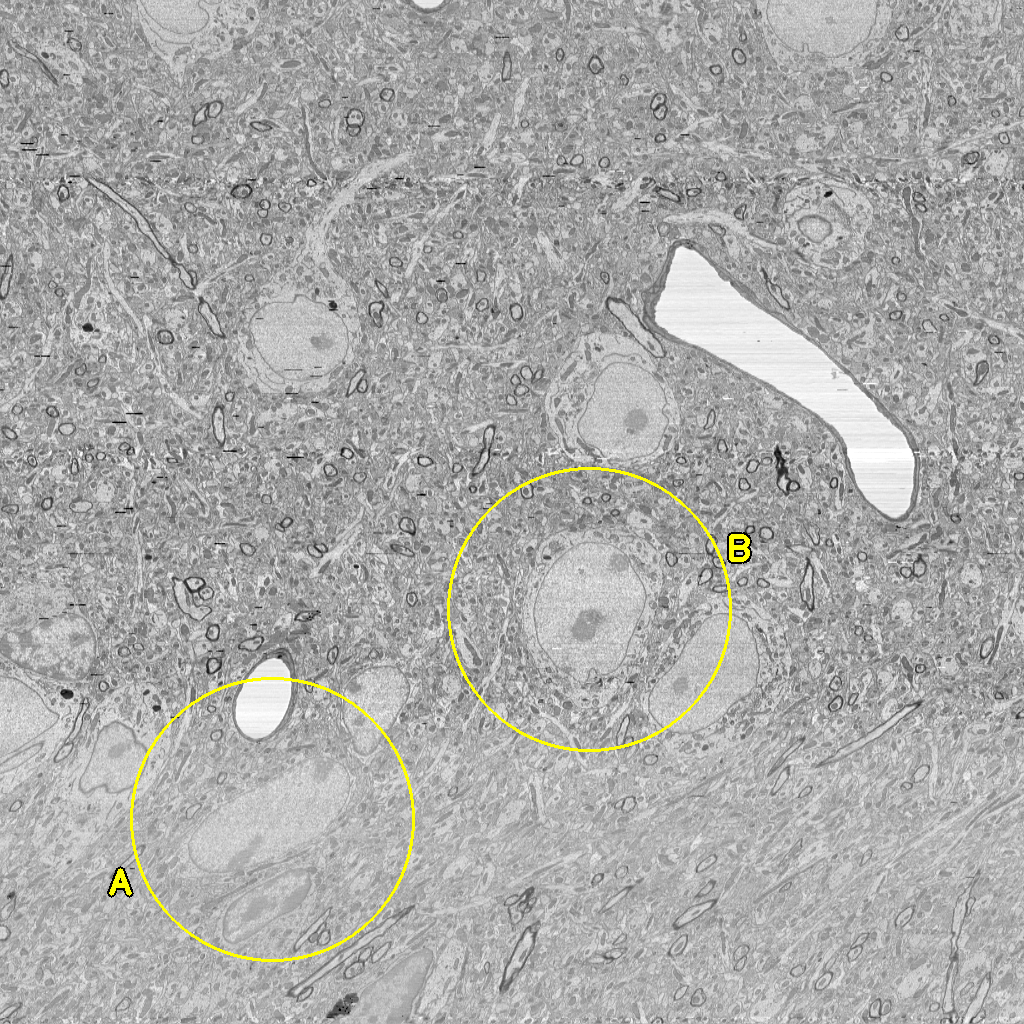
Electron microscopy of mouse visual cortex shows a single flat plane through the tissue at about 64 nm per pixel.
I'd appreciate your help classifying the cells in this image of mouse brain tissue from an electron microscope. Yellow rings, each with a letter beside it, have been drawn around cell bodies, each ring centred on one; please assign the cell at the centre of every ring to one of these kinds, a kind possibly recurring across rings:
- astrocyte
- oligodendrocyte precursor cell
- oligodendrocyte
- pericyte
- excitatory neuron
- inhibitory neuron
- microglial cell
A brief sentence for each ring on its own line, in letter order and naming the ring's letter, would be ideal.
In ring A, the central cell is an astrocyte.
In ring B, the central cell is an excitatory neuron.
